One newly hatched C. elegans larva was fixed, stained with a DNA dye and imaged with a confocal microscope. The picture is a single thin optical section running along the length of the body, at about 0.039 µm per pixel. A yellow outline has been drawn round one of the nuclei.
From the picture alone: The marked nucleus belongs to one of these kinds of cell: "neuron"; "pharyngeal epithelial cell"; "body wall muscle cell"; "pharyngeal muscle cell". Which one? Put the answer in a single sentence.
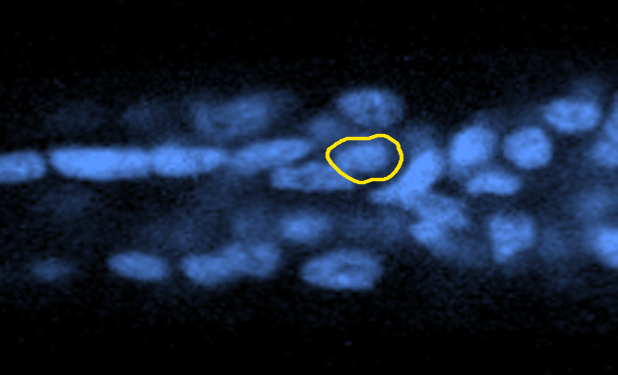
This is the nucleus of a neuron.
